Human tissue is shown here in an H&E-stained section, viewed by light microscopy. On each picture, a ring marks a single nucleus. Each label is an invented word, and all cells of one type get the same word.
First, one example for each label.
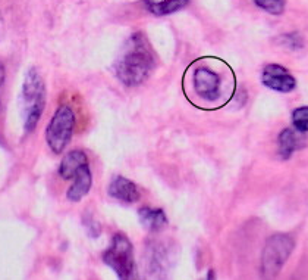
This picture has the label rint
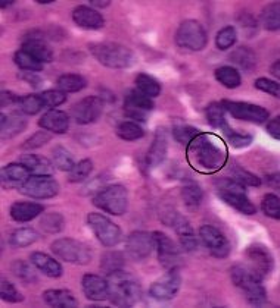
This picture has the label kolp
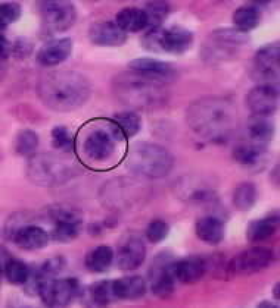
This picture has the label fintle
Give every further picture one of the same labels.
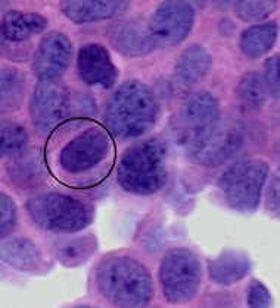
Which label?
kolp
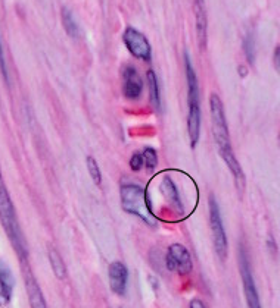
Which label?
fintle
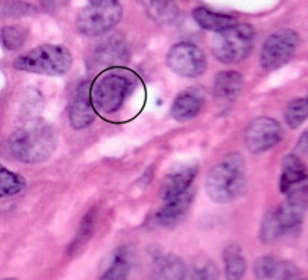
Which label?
kolp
